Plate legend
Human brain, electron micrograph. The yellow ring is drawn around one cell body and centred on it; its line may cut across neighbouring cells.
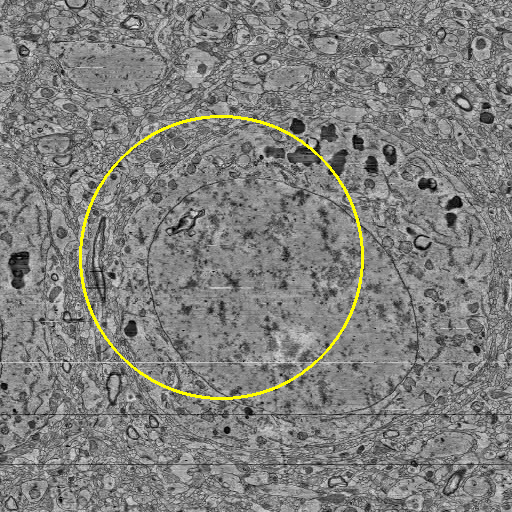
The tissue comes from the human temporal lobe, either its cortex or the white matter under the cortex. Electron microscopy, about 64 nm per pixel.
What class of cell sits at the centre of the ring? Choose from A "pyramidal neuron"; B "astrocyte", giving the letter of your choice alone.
A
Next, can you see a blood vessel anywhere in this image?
No, no blood vessel can be seen.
